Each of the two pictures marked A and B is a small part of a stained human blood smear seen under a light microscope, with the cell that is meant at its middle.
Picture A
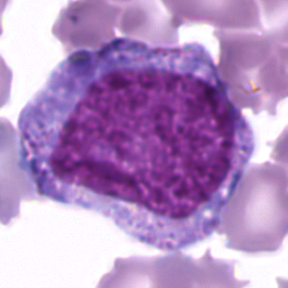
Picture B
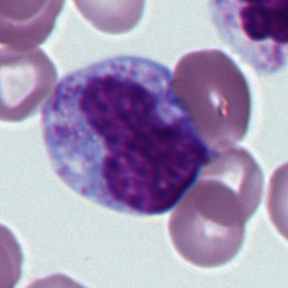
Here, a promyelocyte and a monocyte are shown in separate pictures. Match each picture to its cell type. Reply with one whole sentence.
Picture B shows a monocyte, while picture A shows a promyelocyte.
